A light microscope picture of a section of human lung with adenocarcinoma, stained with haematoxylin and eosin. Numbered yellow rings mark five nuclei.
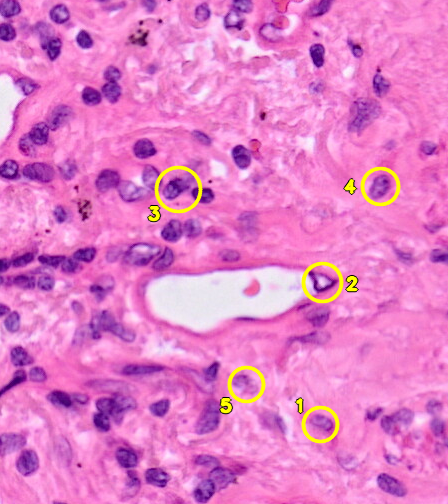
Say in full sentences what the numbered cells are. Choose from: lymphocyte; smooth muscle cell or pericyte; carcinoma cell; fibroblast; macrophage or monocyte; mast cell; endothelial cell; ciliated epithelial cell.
Cells 1 and 4 are mast cells. Cell 2 is an endothelial cell. Cell 3 is a lymphocyte. Cell 5 is a fibroblast.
